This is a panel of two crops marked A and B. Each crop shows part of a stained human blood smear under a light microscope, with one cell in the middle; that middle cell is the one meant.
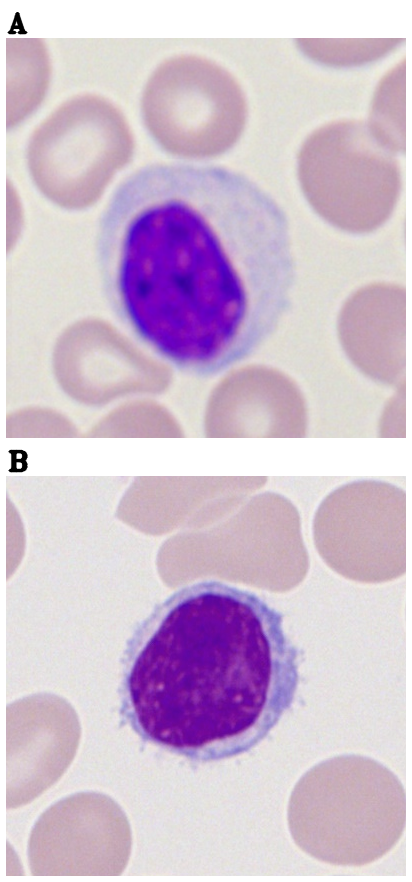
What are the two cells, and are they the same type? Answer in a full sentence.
Yes, they do, both crops show lymphocytes.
